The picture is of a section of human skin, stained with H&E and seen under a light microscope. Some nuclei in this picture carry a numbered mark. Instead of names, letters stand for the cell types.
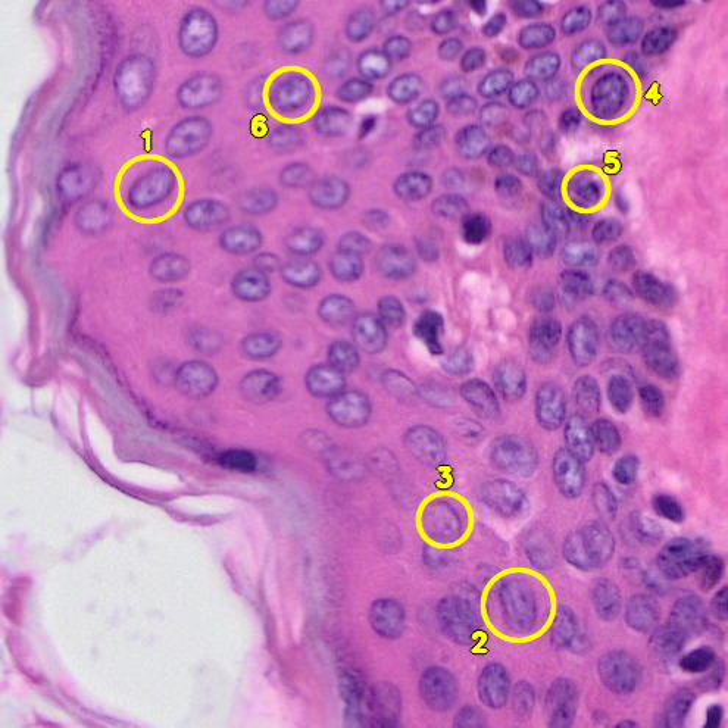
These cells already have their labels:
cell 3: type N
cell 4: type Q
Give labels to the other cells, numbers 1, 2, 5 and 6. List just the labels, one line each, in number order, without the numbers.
type N
type N
type Q
type N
